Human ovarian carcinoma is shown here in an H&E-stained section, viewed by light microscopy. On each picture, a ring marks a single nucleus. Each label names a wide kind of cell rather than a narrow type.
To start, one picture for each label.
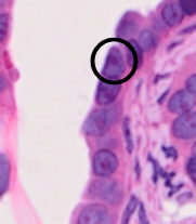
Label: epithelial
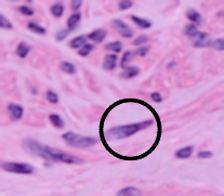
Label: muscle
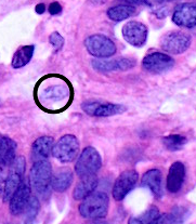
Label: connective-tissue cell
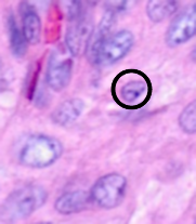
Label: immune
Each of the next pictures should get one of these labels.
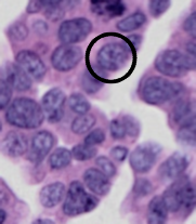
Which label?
epithelial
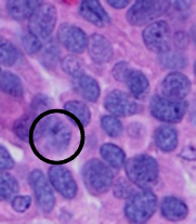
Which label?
epithelial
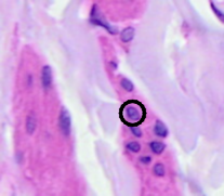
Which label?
muscle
